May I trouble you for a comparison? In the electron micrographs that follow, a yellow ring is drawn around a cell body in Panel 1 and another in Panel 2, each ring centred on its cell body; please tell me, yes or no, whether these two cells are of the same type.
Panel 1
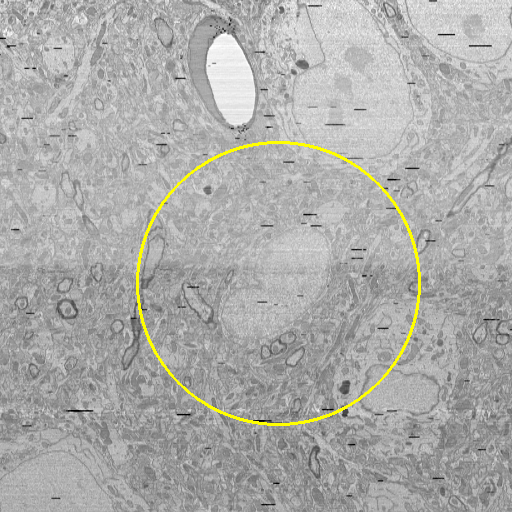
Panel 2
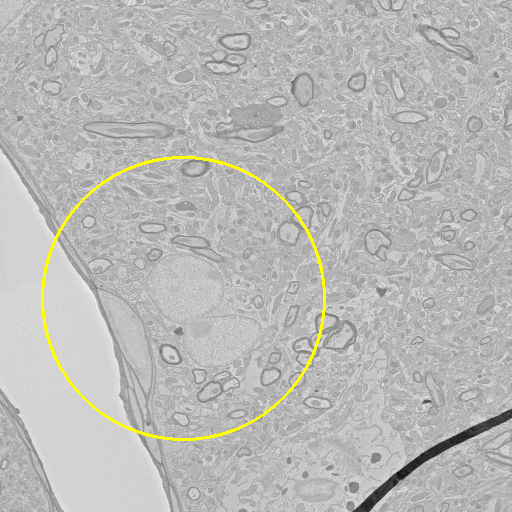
yes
